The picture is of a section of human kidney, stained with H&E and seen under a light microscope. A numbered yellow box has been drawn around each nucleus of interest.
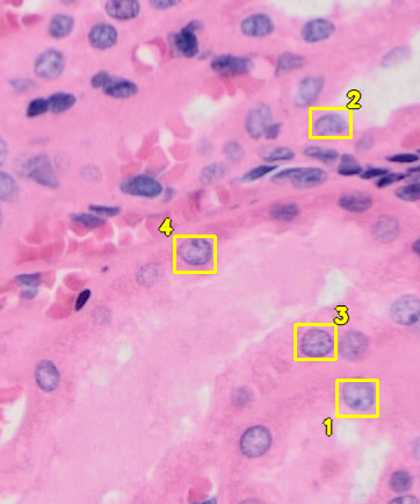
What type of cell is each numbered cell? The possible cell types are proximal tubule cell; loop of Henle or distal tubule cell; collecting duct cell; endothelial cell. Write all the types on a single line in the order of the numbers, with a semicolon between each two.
proximal tubule cell; loop of Henle or distal tubule cell; proximal tubule cell; proximal tubule cell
